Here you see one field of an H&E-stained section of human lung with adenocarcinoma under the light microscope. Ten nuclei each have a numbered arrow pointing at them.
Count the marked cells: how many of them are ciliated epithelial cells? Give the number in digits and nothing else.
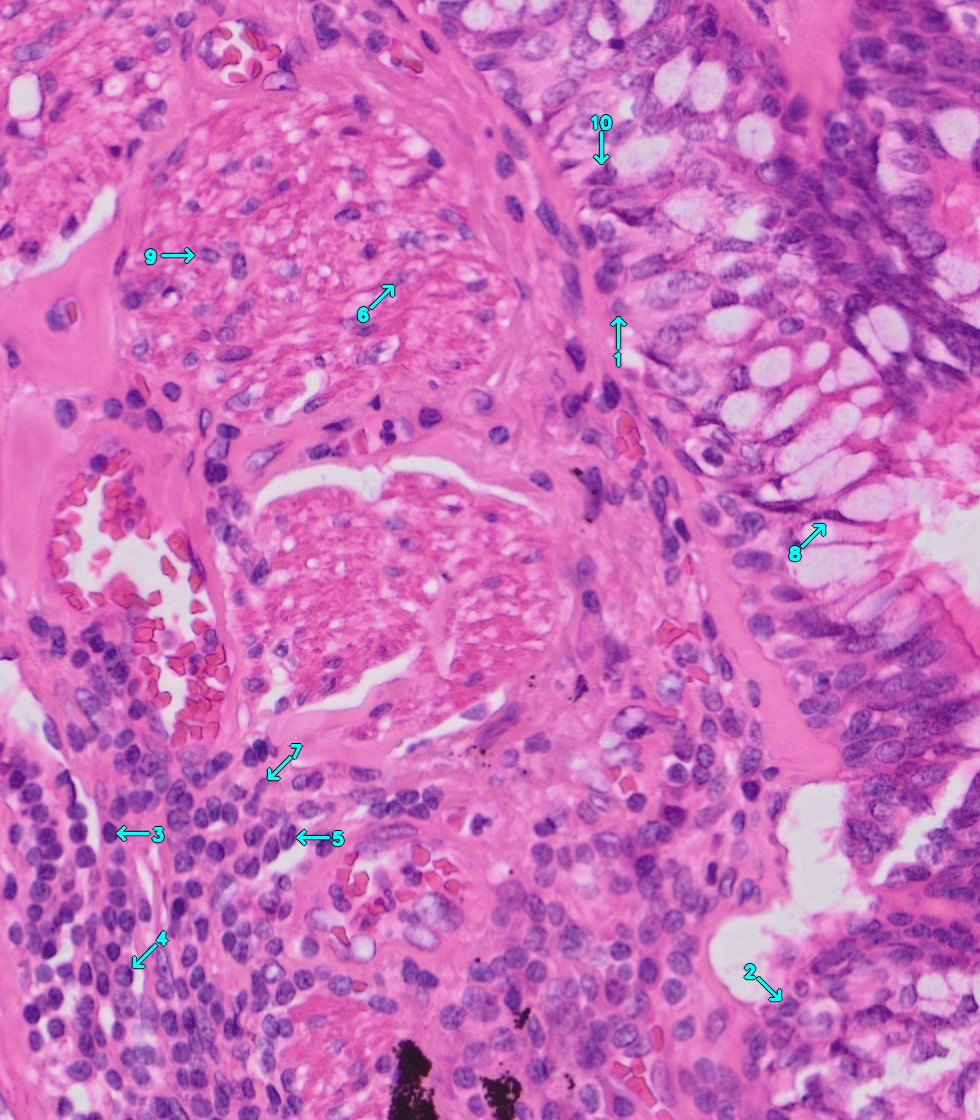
4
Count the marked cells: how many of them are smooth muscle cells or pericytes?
2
